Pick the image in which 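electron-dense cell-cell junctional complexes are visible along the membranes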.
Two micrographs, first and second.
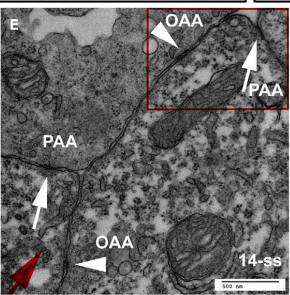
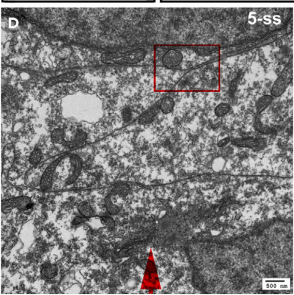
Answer: The first image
